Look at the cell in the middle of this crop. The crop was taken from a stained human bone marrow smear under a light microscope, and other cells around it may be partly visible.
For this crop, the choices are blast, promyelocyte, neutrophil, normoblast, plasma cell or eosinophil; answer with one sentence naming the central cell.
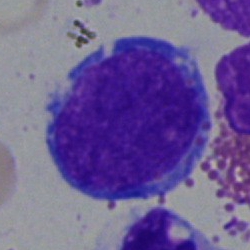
At the crop's centre, the cell is a blast.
